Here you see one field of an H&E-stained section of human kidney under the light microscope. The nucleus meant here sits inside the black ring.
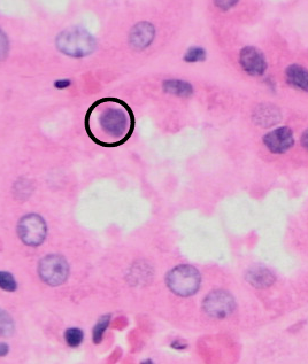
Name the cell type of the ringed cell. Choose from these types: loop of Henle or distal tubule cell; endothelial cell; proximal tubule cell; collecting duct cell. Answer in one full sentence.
In the stained section, the ringed cell is a proximal tubule cell.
